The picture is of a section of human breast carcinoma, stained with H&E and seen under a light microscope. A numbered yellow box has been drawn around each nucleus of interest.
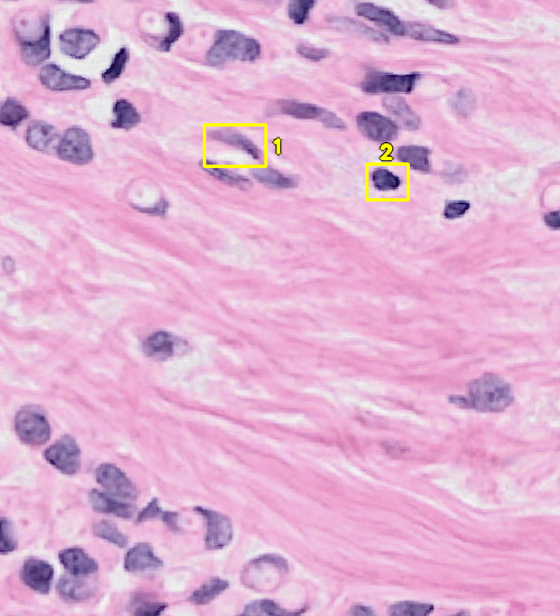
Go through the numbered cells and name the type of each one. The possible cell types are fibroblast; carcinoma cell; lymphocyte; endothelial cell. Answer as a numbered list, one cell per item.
1. endothelial cell
2. lymphocyte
